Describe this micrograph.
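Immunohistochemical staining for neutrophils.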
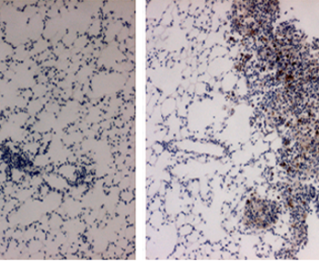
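The mass is packed with small cells, many of which carry a brown stain, scattered among blue-counterstained nuclei. A smaller separate cell cluster lies below the main mass. Around the lesion, the lung keeps its thin septa and open air spaces.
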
